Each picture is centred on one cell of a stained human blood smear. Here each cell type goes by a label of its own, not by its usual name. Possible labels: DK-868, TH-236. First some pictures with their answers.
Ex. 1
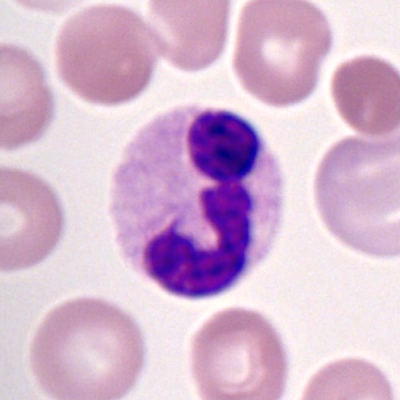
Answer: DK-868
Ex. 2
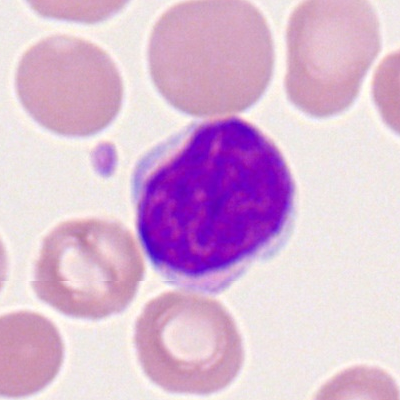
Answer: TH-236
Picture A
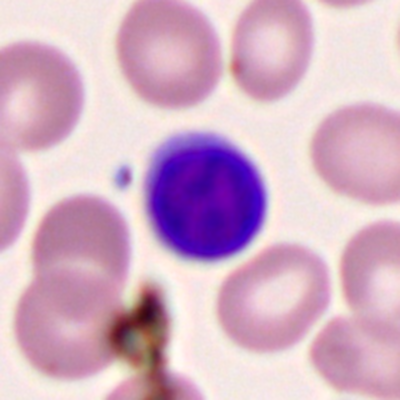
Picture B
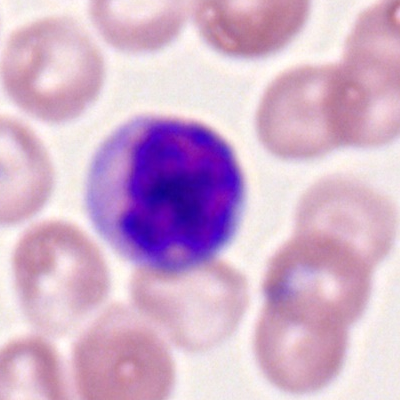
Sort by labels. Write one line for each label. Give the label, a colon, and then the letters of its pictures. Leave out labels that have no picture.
TH-236: A, B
